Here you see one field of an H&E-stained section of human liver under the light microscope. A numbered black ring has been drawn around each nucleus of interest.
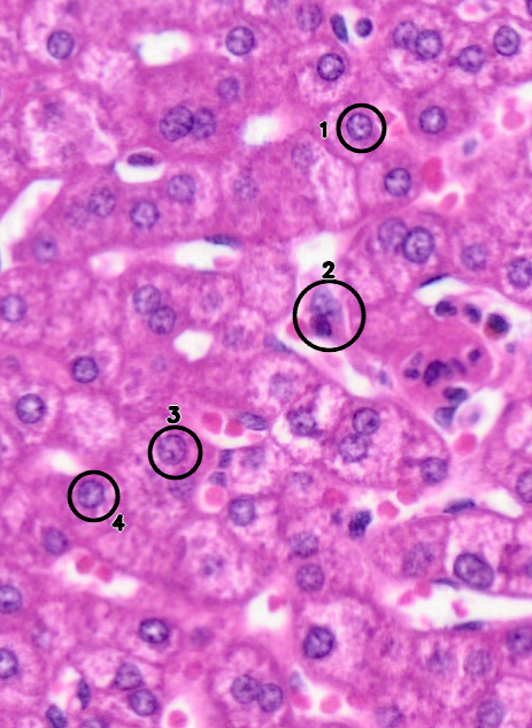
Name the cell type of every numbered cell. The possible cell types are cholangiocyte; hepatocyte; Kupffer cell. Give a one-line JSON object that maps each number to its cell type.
{"1": "hepatocyte", "2": "Kupffer cell", "3": "hepatocyte", "4": "hepatocyte"}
